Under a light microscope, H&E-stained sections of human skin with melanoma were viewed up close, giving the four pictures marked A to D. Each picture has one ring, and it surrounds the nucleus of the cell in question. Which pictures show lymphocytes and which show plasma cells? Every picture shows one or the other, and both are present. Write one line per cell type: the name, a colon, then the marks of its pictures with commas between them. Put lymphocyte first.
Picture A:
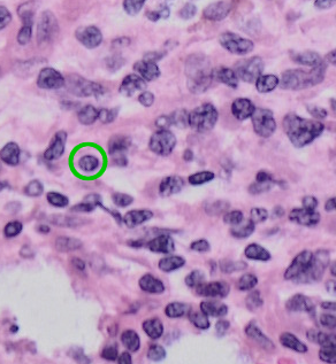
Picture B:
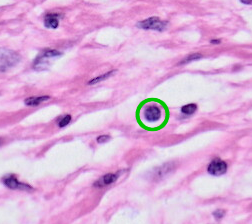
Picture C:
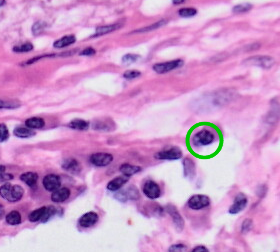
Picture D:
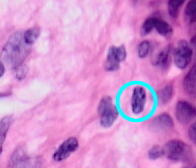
lymphocyte: A, B, D
plasma cell: C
